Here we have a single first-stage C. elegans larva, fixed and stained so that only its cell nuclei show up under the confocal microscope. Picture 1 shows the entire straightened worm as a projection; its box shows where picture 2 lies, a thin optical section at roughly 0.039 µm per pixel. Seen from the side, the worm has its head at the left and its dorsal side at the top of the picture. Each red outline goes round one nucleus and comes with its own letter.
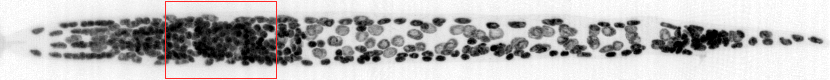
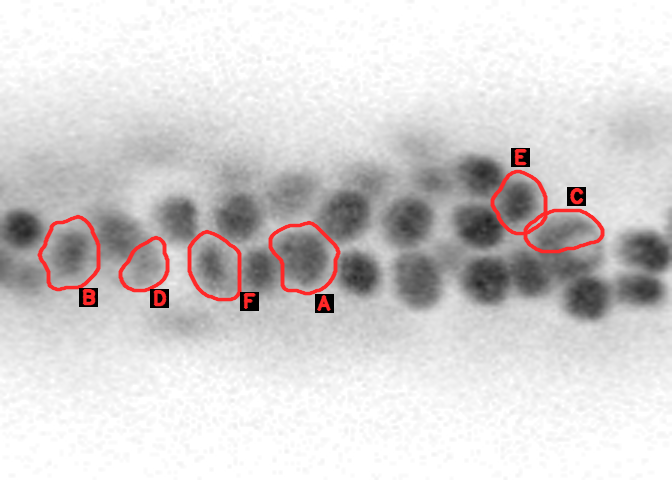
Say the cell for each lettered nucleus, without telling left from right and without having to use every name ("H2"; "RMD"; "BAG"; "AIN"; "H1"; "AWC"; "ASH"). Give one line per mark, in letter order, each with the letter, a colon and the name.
A: AWC
B: BAG
C: H2
D: H1
E: AIN
F: RMD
